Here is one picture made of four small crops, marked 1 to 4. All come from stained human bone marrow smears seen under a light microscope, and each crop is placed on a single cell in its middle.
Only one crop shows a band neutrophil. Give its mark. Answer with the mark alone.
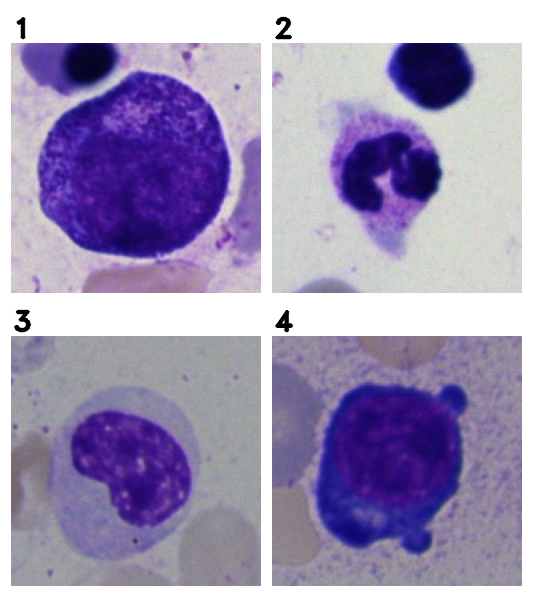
3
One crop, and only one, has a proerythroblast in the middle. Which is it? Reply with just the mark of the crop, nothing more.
4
